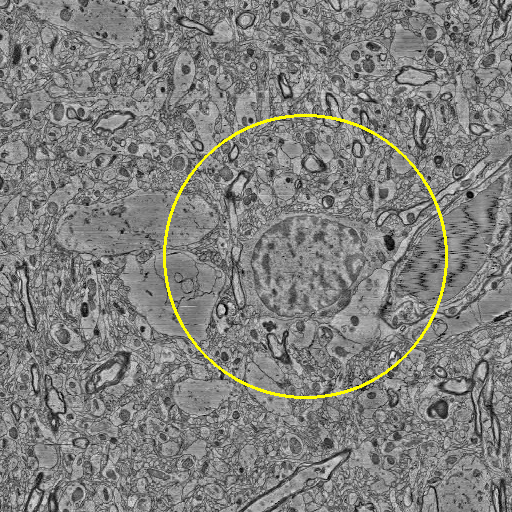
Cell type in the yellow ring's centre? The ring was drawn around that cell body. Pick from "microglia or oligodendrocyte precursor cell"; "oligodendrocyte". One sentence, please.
The ringed cell body is that of an oligodendrocyte.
